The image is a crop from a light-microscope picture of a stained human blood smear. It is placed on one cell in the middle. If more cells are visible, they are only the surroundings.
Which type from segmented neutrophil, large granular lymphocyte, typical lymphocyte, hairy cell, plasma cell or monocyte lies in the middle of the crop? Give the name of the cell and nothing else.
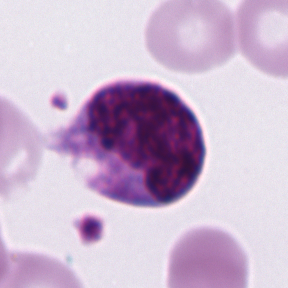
monocyte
